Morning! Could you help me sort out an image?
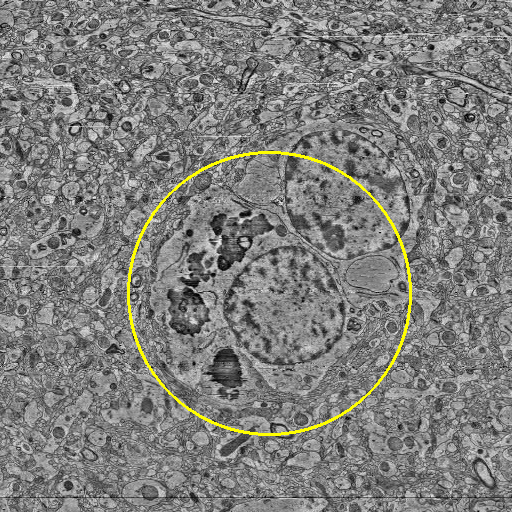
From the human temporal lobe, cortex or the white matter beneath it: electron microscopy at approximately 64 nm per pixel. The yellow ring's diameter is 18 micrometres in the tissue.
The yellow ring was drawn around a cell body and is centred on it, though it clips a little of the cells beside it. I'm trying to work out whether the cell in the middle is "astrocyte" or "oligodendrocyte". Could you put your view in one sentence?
The ringed cell body is that of an astrocyte.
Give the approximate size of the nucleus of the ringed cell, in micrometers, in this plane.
The nucleus appears about 8 micrometres across in this plane.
